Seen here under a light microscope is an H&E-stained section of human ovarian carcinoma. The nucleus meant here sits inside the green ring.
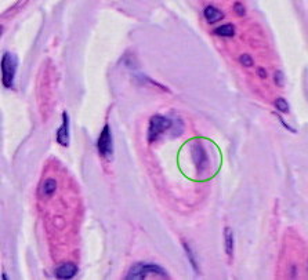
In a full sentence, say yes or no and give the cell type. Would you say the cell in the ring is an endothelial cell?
Yes, when classified by type, the cell in the ring is an endothelial cell.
